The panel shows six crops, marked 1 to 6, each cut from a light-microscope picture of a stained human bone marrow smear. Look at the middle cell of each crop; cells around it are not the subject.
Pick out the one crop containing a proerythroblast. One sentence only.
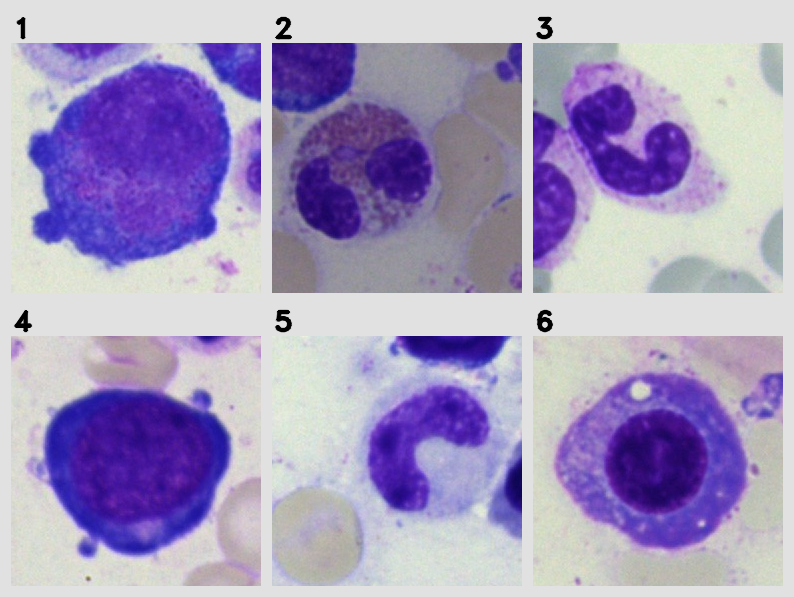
The one that shows a proerythroblast is crop 4.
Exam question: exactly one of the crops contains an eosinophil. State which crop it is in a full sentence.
The crop with an eosinophil at its center is crop 2.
